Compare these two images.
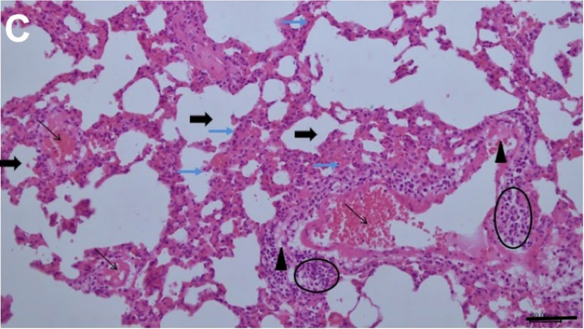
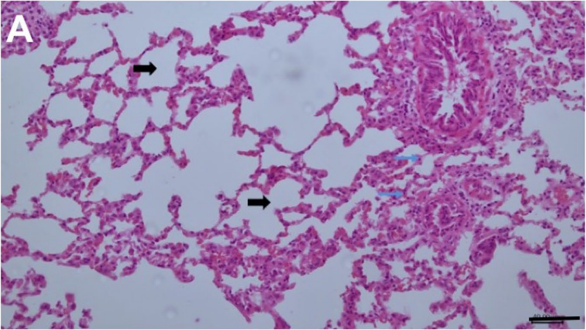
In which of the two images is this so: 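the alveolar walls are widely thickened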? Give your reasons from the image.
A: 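The first image. First image: the septa between air spaces are broad and crowded with nuclei, and the air spaces are smaller. Second image: the septa are thin and the air spaces are wide and open.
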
